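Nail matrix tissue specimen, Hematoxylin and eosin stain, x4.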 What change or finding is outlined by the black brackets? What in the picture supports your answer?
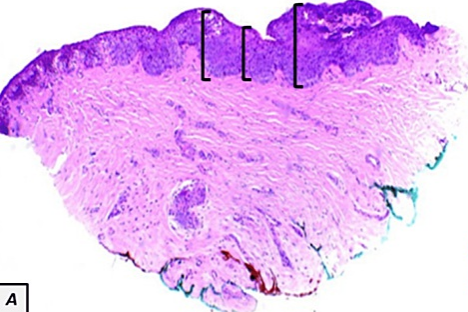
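Epithelial acanthosis. The purple-stained epithelium is markedly thickened where the brackets span it. The epithelium forms broad downward bulges into the pink dermis.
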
